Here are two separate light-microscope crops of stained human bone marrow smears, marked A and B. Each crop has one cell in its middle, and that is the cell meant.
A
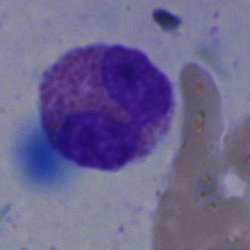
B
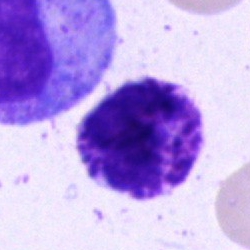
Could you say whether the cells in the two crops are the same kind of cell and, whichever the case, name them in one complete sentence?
No, crop A displays an eosinophil and crop B displays a basophil.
